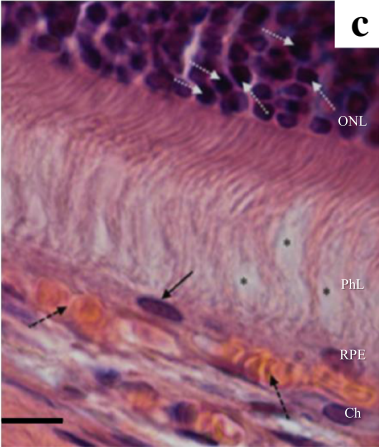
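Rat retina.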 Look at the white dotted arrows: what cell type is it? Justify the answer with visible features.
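Photoreceptors. The arrows point at small dark round nuclei in the densely packed nuclear layer at the top. This nuclear layer lies directly above the striated outer segment layer.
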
